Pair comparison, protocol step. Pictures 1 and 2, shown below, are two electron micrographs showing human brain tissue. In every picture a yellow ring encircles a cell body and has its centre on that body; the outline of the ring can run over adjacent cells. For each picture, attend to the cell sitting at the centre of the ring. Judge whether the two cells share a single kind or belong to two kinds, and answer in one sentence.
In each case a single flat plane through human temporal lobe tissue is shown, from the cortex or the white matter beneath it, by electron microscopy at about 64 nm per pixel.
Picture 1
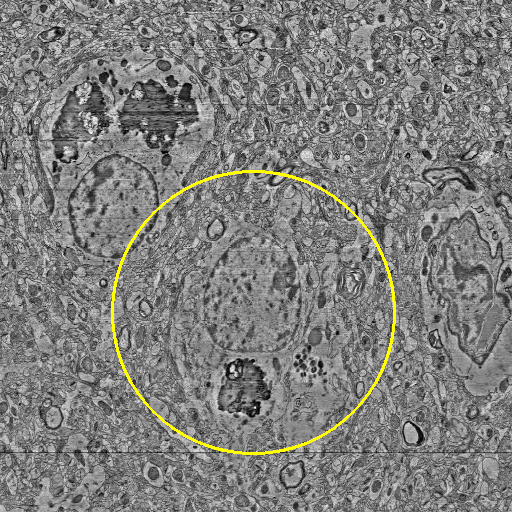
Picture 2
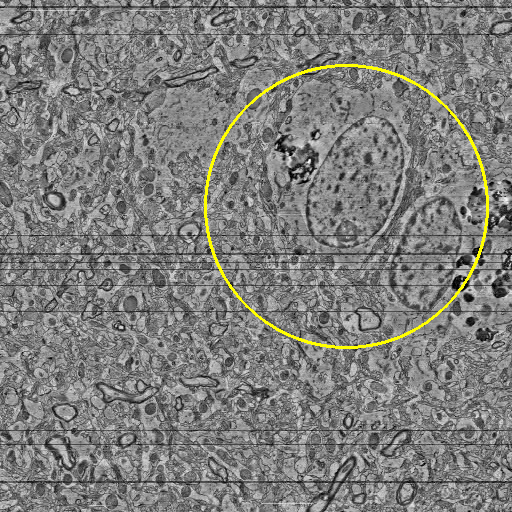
The two cells at the ring centres in Picture 1 and Picture 2 share a single kind.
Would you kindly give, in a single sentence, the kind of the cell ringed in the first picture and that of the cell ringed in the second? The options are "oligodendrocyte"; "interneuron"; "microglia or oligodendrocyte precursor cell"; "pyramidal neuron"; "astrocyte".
The cell at the ring centre is an astrocyte in both pictures.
